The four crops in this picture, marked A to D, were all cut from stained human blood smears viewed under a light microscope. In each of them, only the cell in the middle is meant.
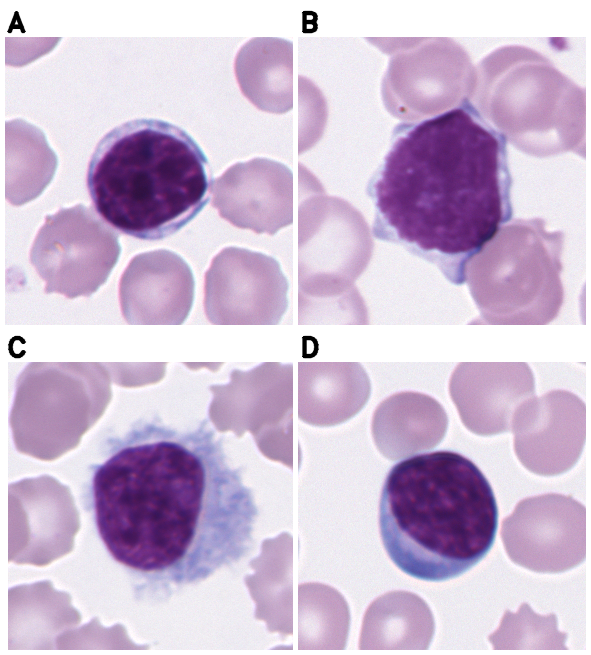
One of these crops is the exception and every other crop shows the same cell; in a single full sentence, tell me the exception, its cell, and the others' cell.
Here the outlier is crop C, which is a hairy cell, and the rest are typical lymphocytes.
